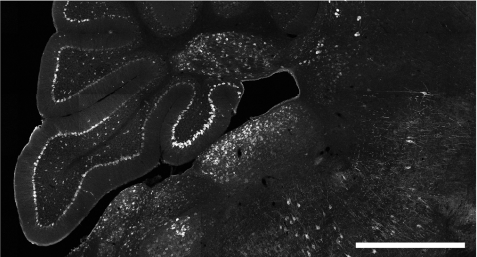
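This is a close view of the cerebellum with the adjoining brainstem. The bright row stands out as beaded lines tracing the folds. To the right, the brainstem tissue holds scattered bright cell bodies of varying size among fainter fibre-rich tissue, with some stained cells clustered in patches. A dark cleft separates the cerebellum from the brainstem.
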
